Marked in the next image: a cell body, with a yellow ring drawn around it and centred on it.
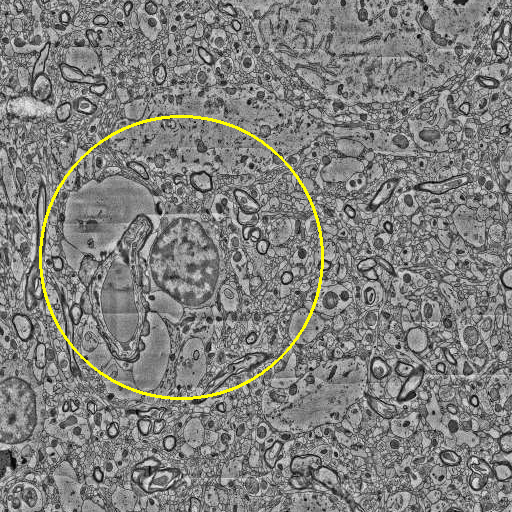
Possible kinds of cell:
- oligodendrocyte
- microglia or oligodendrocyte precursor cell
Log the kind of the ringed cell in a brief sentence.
The ringed cell body is that of an oligodendrocyte.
